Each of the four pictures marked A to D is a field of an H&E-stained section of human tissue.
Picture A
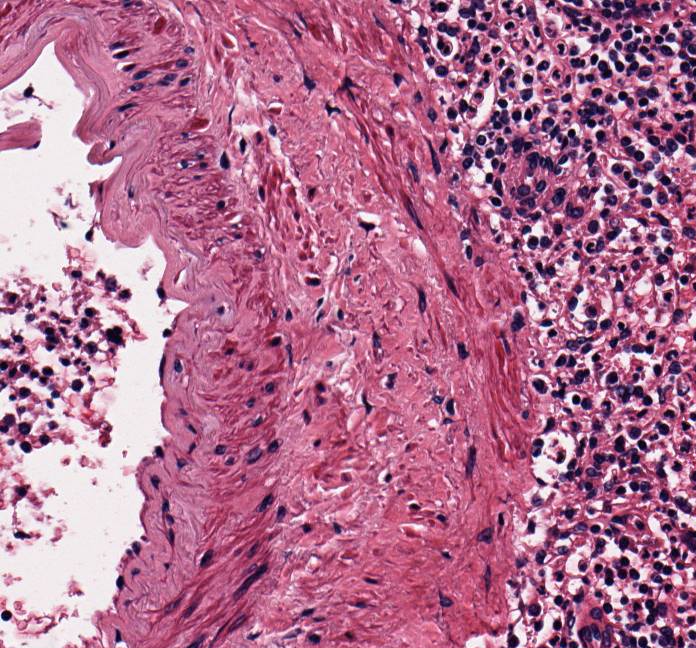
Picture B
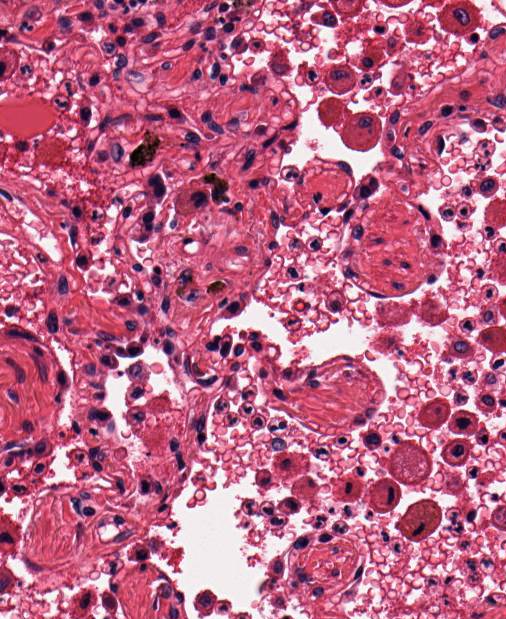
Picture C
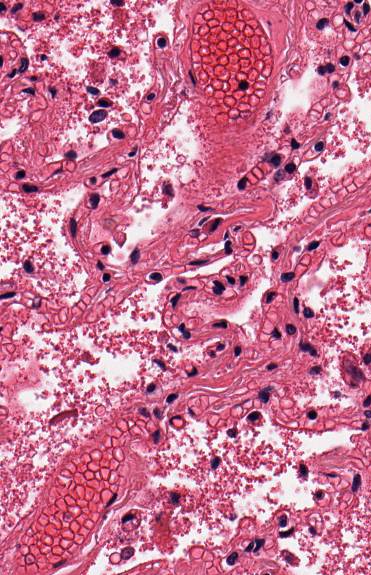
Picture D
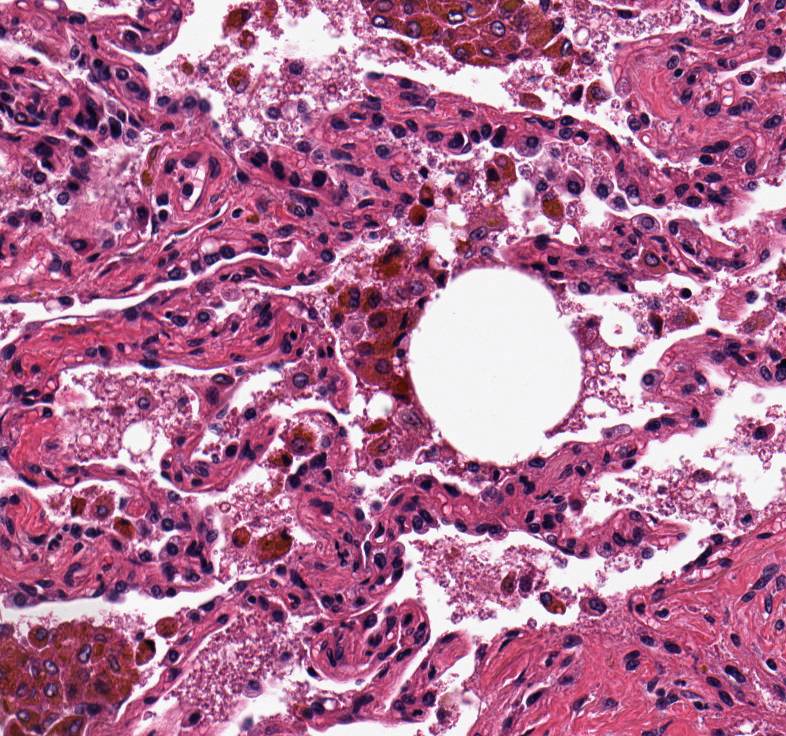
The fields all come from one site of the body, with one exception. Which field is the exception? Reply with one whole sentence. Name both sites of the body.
All pictures except A come from the lung; picture A comes from the spleen.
